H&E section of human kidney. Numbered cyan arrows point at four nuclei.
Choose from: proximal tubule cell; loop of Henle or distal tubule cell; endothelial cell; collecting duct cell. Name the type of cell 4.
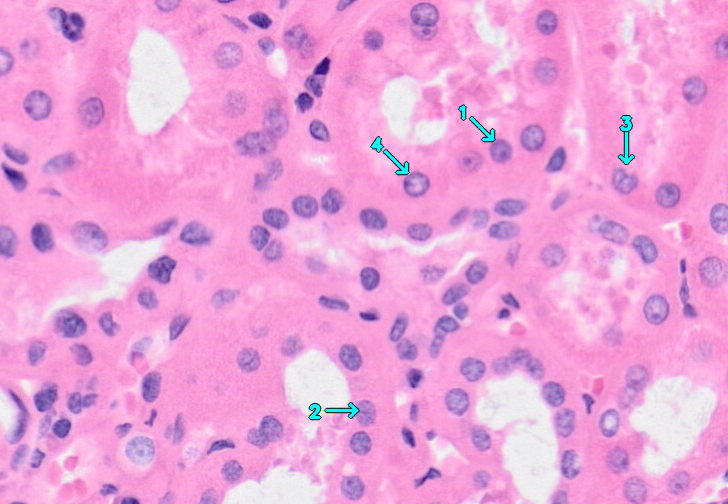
proximal tubule cell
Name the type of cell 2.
loop of Henle or distal tubule cell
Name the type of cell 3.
proximal tubule cell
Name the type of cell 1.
proximal tubule cell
